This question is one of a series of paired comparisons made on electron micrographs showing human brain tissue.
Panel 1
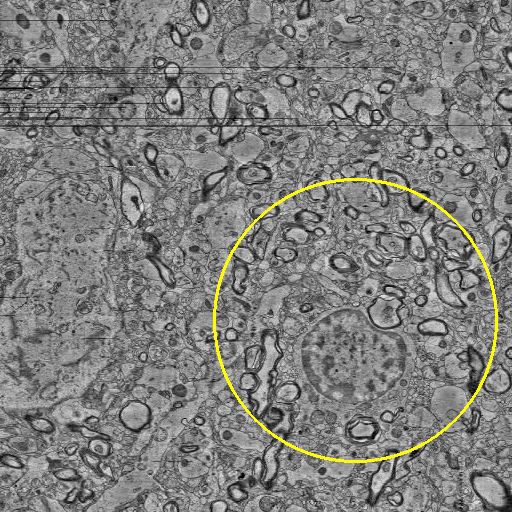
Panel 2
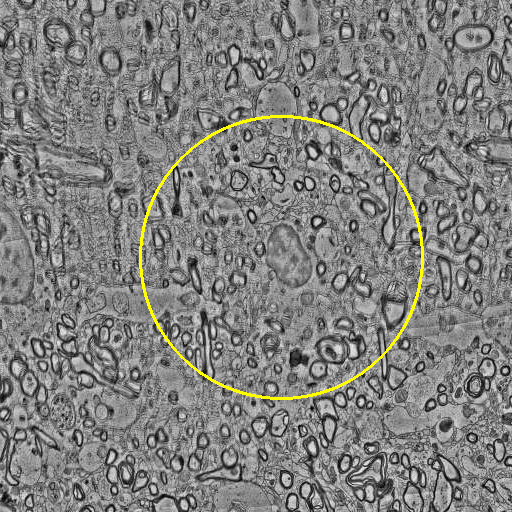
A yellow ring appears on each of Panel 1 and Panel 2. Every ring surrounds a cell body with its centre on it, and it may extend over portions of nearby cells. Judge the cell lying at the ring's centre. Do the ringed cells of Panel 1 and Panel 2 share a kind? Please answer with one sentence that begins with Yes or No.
Yes, the ring-centre cell in Panel 1 and the one in Panel 2 are of one kind.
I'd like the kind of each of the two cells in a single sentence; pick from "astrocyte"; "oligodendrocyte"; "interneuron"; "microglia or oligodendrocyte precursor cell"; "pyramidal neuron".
In each picture the ringed cell is an oligodendrocyte.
